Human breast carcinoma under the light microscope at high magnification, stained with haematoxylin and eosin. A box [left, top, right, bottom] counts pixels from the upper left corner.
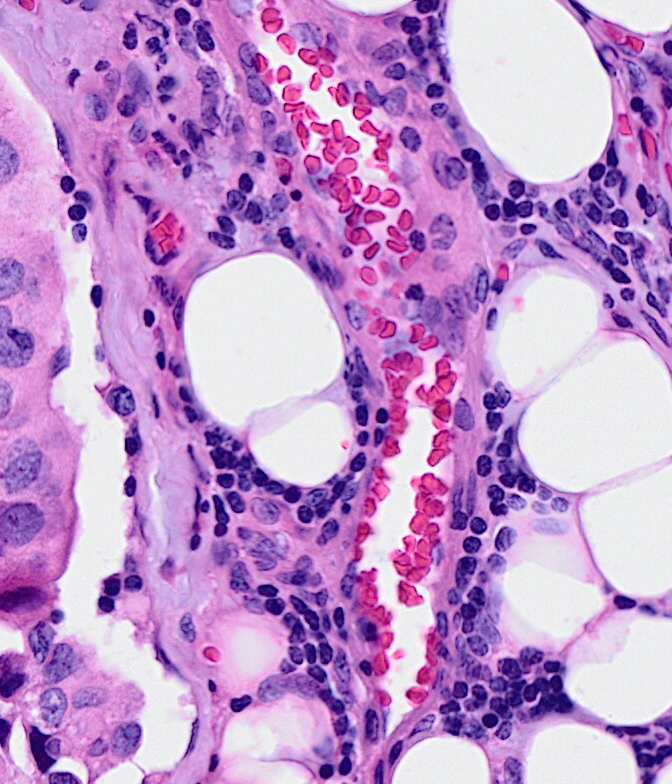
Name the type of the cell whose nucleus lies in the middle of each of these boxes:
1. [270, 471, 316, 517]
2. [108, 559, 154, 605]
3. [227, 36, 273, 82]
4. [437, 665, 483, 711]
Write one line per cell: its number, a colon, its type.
1: lymphocyte
2: lymphocyte
3: endothelial cell
4: lymphocyte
